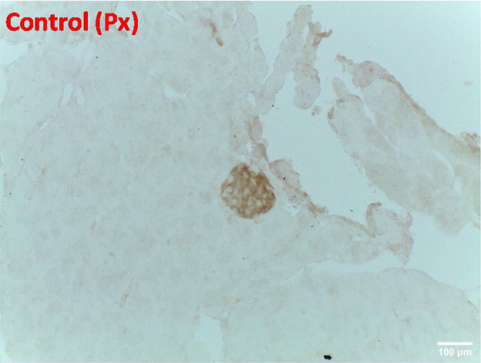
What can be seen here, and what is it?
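A section of pancreas showing a small, round pancreatic islet lying among pale exocrine tissue. The islet is compact and well demarcated, and its cells are stained brown, standing out clearly from the weakly stained surrounding tissue.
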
